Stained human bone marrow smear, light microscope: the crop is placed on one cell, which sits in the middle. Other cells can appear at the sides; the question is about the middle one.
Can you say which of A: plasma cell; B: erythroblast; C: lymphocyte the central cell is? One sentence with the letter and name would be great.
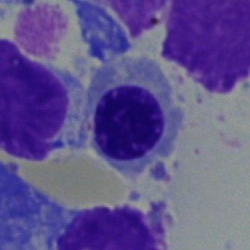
Since the middle cell is an erythroblast, option B is the right one.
